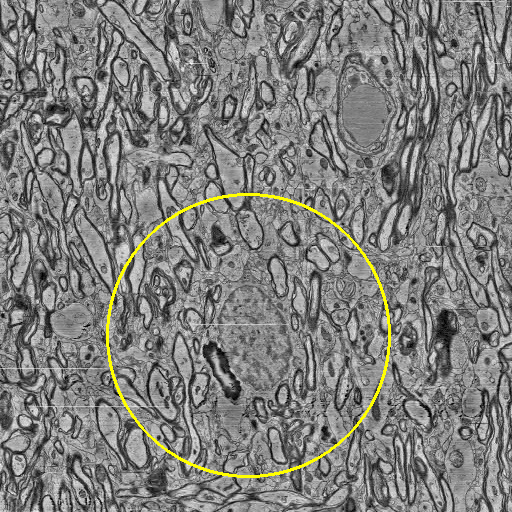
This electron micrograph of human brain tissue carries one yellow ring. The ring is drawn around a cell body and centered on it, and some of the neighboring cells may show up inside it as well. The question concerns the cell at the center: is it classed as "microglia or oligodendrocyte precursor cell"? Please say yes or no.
No, it is classed as another kind.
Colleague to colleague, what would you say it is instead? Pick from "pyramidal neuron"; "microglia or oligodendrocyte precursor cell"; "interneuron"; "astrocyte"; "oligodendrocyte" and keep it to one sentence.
Sitting at the ring centre is an oligodendrocyte.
